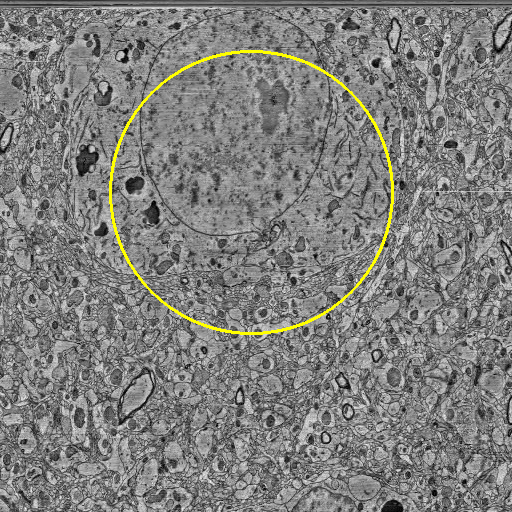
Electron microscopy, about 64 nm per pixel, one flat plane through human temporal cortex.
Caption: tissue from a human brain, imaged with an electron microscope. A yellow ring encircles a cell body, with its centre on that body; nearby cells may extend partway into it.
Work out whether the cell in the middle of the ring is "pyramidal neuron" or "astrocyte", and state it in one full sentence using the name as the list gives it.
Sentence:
In the picture, the cell that the yellow ring surrounds at its centre is a pyramidal neuron.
